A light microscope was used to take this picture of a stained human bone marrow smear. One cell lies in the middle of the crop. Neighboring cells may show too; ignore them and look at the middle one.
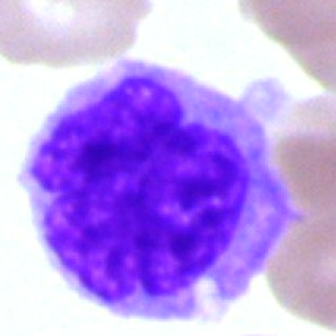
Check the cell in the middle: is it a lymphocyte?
no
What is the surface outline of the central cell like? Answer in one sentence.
The outline of this cell is not smooth but ragged or drawn out into projections.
